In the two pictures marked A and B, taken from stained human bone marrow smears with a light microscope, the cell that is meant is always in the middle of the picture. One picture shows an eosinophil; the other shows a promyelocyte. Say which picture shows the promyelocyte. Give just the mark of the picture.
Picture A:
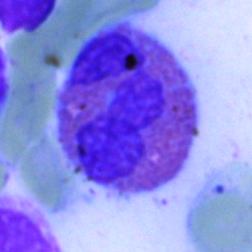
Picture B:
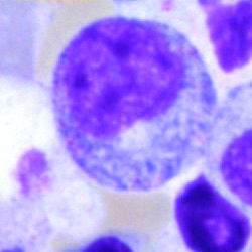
B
